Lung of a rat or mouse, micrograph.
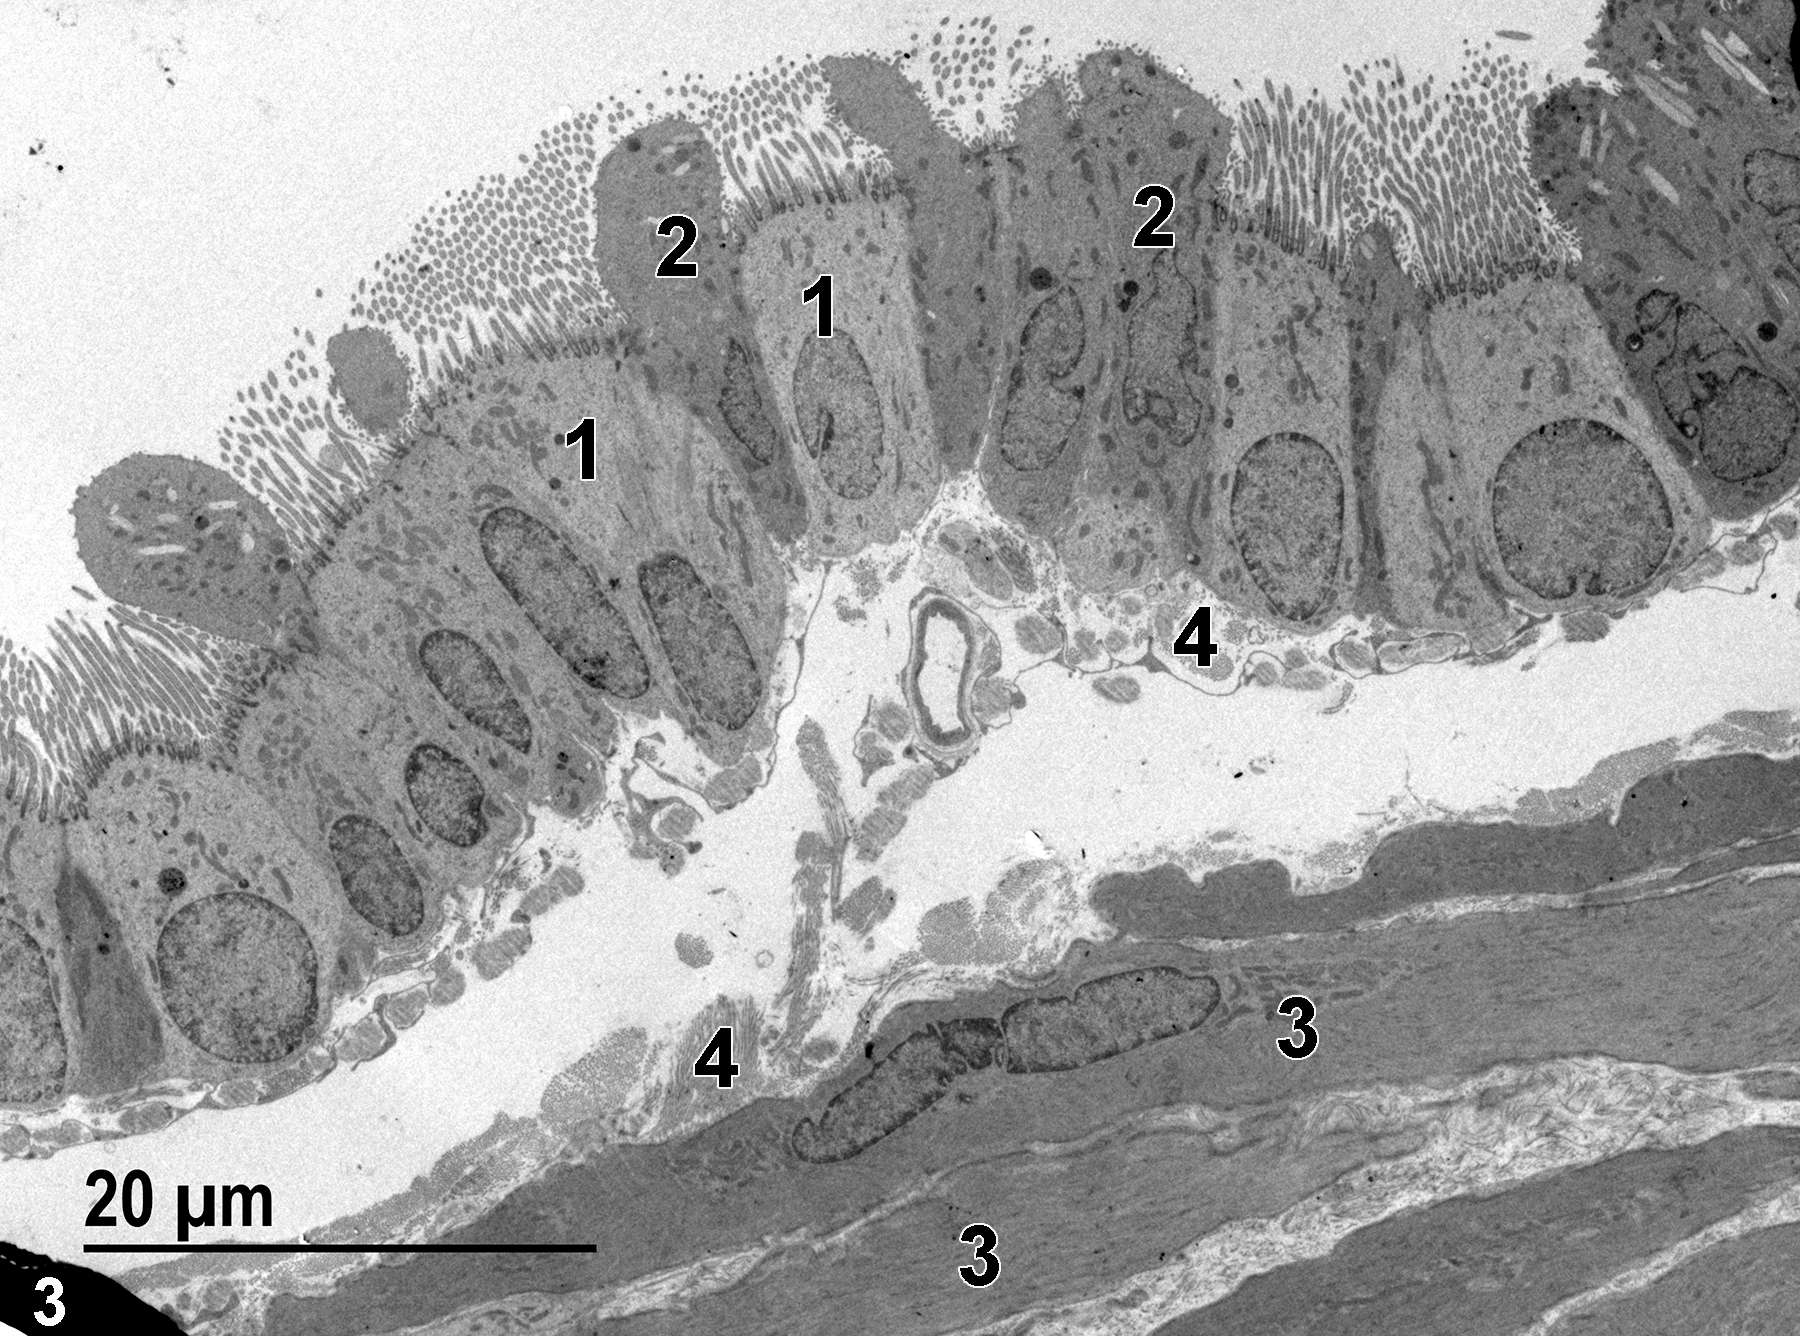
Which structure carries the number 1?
1 marks the ciliated epithelial cells.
